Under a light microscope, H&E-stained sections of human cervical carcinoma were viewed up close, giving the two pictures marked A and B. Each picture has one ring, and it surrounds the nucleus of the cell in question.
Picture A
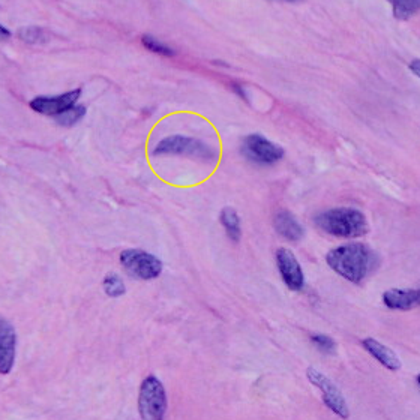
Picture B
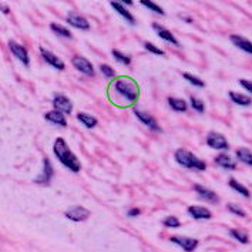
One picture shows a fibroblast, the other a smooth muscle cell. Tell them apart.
A: fibroblast
B: smooth muscle cell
